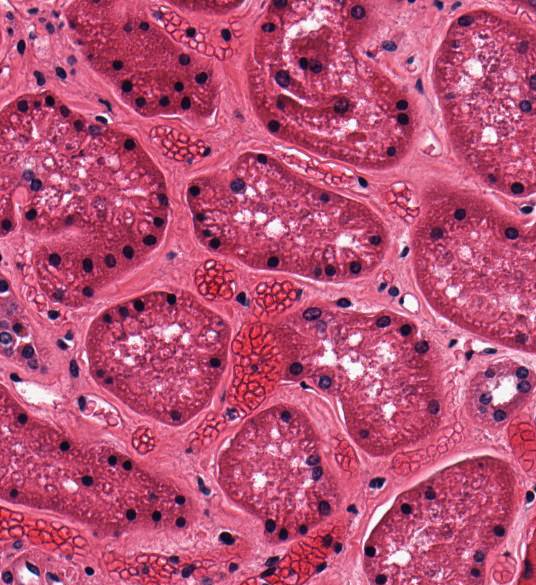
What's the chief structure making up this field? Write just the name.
cortical labyrinth of the kidney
